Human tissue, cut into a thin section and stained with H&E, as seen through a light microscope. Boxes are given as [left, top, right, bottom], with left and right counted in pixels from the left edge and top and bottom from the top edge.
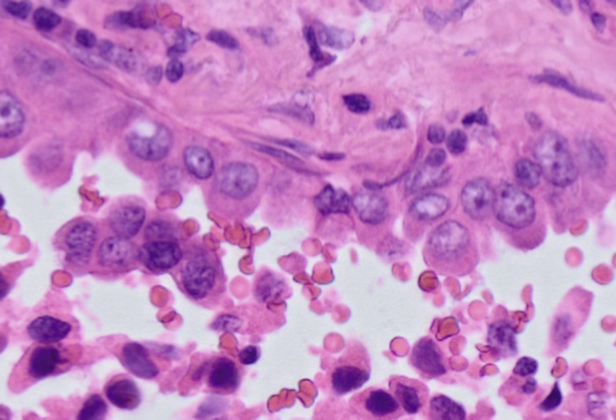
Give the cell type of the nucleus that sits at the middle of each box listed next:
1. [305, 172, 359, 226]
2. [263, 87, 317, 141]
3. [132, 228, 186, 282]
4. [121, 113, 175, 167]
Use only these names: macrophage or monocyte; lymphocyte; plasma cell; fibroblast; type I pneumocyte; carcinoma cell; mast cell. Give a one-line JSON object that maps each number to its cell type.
{"1": "carcinoma cell", "2": "fibroblast", "3": "carcinoma cell", "4": "carcinoma cell"}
